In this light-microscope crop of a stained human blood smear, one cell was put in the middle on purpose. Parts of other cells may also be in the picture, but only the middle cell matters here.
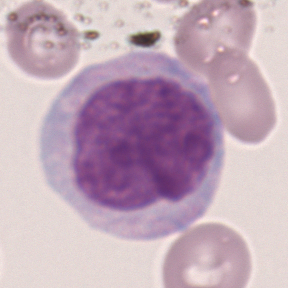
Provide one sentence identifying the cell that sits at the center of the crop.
In the center of this field lies an atypical promyelocyte.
